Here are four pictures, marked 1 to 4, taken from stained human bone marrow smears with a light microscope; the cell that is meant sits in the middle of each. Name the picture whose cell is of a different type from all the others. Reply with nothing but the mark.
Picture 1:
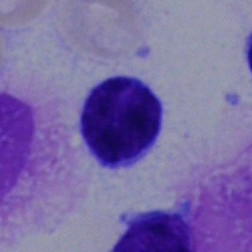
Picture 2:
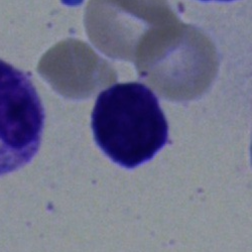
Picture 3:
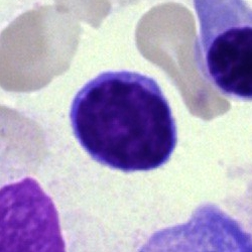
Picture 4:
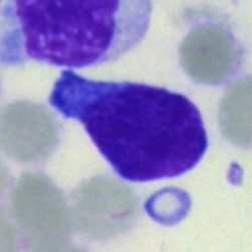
4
